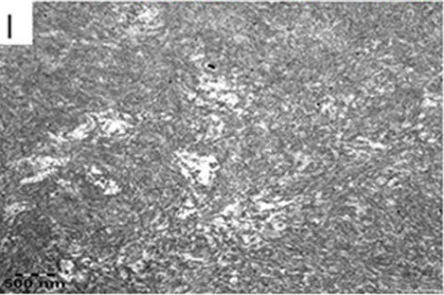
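At high magnification the deposited material resolves into a dense meshwork of fine fibrils. The fibrils are short and lie in random orientation, without any parallel or organised arrangement. Small paler gaps interrupt the otherwise uniform fibrillary texture.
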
